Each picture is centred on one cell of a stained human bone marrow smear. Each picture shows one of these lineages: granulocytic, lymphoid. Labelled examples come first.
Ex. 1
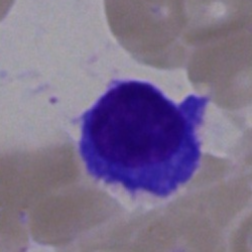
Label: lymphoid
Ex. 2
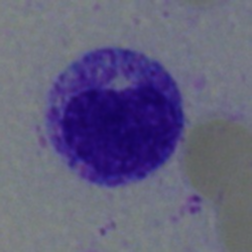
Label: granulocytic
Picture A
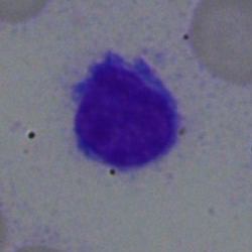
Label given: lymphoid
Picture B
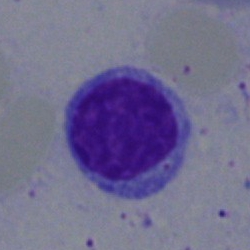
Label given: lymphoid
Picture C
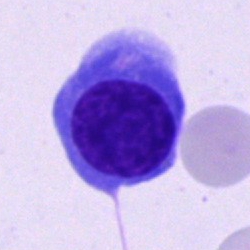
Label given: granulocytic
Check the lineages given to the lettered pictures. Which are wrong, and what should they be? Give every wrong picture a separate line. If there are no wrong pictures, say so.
C is labelled granulocytic; correct label: lymphoid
